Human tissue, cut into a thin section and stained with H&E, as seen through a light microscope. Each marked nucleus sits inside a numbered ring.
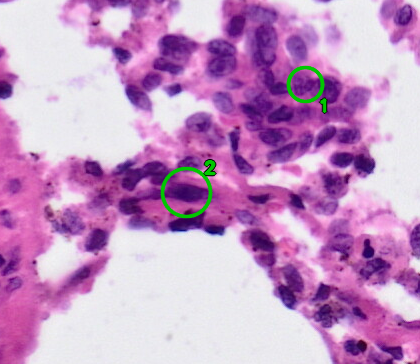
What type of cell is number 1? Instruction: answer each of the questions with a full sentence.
It is as a carcinoma cell that the cell numbered 1 is identified.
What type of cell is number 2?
Looking at the numbered marks, cell 2 is an endothelial cell.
